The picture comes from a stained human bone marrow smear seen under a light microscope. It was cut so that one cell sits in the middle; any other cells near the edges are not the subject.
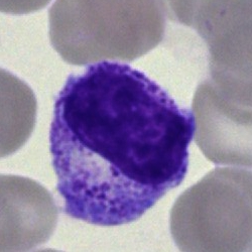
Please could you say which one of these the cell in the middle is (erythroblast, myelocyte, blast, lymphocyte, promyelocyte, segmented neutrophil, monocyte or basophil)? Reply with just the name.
myelocyte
